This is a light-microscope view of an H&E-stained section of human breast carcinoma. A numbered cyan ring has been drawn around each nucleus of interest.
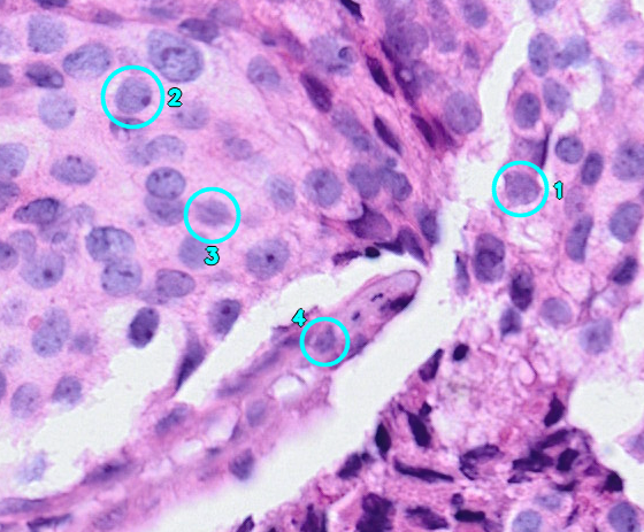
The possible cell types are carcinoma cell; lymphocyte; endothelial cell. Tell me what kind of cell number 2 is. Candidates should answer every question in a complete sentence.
That cell with number 2 is a carcinoma cell.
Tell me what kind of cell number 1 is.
The cell indicated with the number 1 is classed as a carcinoma cell.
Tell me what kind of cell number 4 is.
What the number 4 marks in this field is an endothelial cell.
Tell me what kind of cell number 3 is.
The cell pointed out as number 3 is a carcinoma cell.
